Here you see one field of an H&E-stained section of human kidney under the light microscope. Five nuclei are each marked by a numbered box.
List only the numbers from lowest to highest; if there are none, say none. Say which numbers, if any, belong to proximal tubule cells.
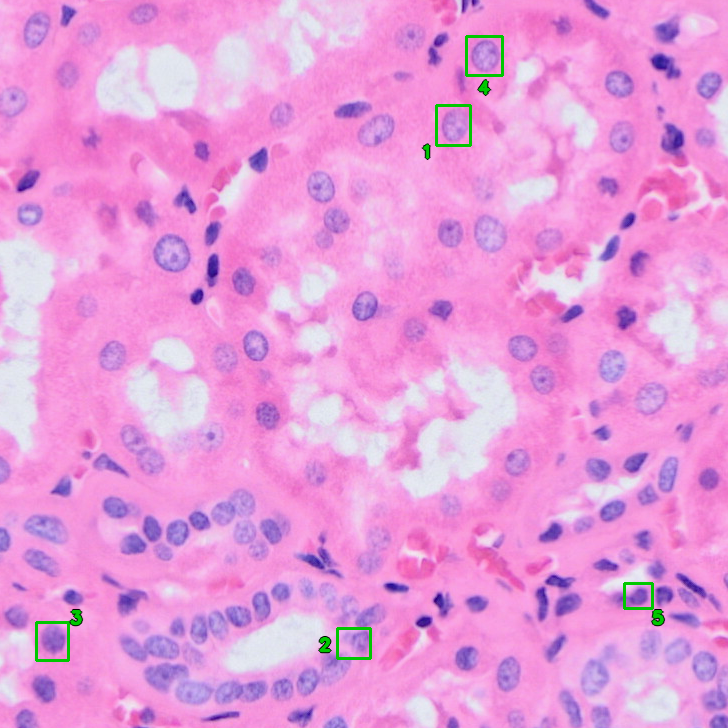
1, 4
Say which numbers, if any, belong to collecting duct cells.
2, 5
